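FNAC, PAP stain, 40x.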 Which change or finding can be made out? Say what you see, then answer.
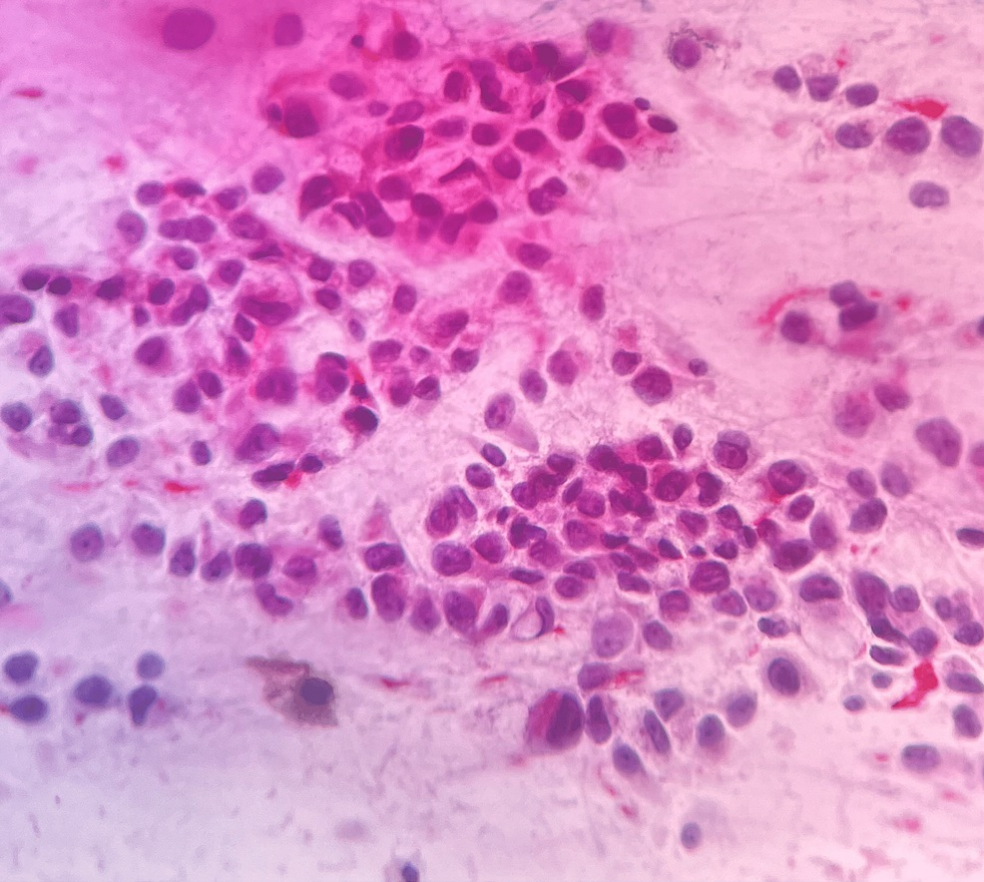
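Many cells lie singly or in loose groups with no cohesive sheets or glands. The cells are scattered loosely across a pale background. That points to this answer: chiefly dissociated cell population.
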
